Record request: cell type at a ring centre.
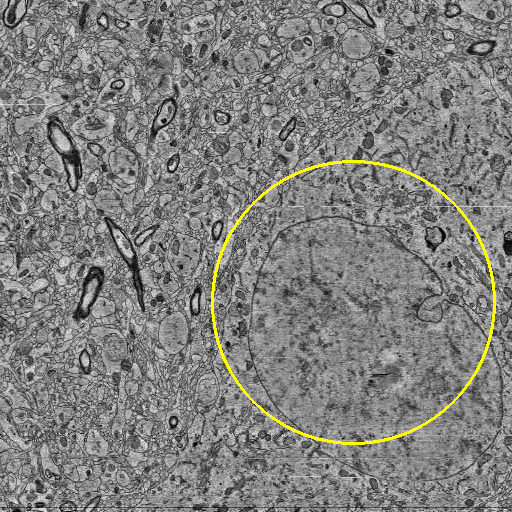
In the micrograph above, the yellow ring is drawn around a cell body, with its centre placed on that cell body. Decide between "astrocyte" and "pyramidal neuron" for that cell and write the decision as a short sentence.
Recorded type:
The cell centred in the yellow ring is a pyramidal neuron.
